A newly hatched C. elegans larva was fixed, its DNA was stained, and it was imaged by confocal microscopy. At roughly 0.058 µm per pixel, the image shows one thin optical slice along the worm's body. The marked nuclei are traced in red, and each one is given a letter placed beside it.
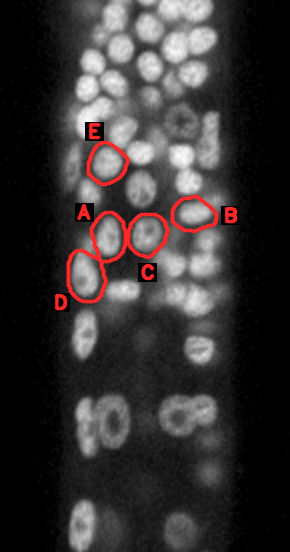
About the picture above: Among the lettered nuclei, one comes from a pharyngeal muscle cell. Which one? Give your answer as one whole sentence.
Nucleus C belongs to a pharyngeal muscle cell.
